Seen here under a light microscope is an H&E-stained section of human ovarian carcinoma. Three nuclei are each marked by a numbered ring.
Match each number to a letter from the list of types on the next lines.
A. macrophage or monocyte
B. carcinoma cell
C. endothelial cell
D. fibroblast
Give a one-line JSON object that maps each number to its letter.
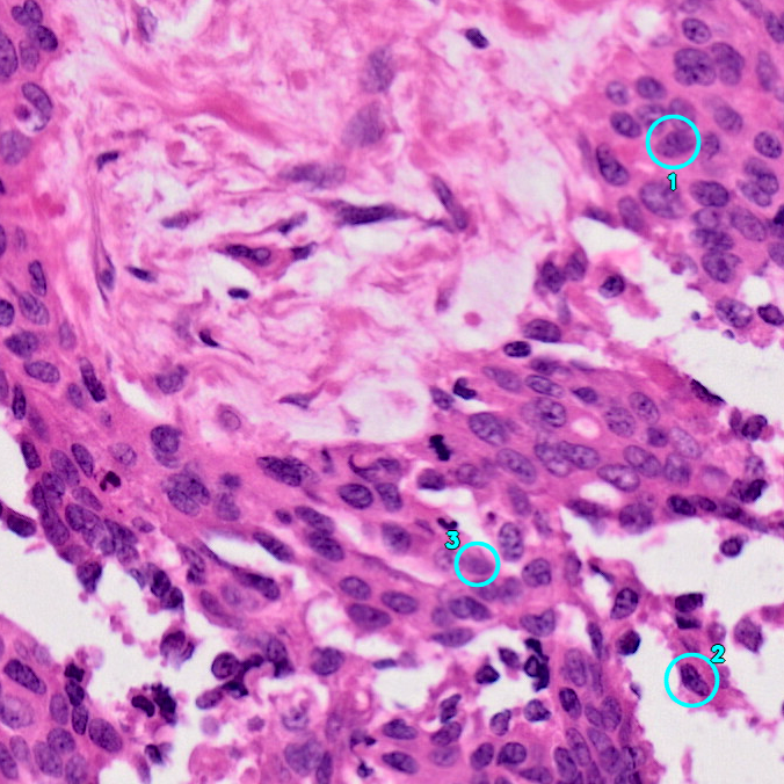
{"1": "B", "2": "A", "3": "B"}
